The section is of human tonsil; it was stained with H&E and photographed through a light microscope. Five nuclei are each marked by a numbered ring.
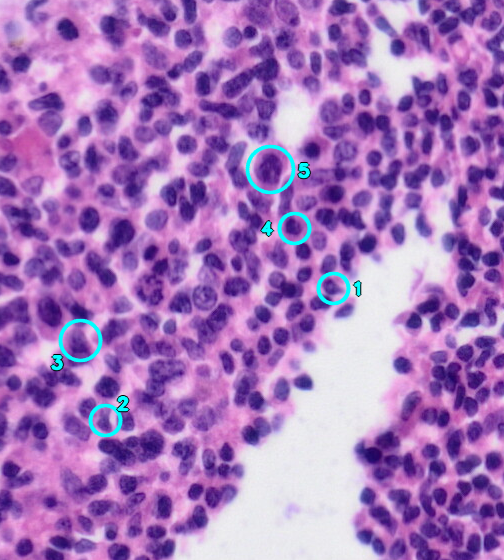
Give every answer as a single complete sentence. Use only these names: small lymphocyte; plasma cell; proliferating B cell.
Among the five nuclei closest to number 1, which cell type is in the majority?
Most of the five nuclei nearest to number 1 are those of small lymphocytes.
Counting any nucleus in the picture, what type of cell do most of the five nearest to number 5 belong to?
Around number 5, most of the five nearest nuclei are those of proliferating B cells.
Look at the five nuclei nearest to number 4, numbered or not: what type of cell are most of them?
Proliferating B cells make up most of the five nuclei closest to number 4.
